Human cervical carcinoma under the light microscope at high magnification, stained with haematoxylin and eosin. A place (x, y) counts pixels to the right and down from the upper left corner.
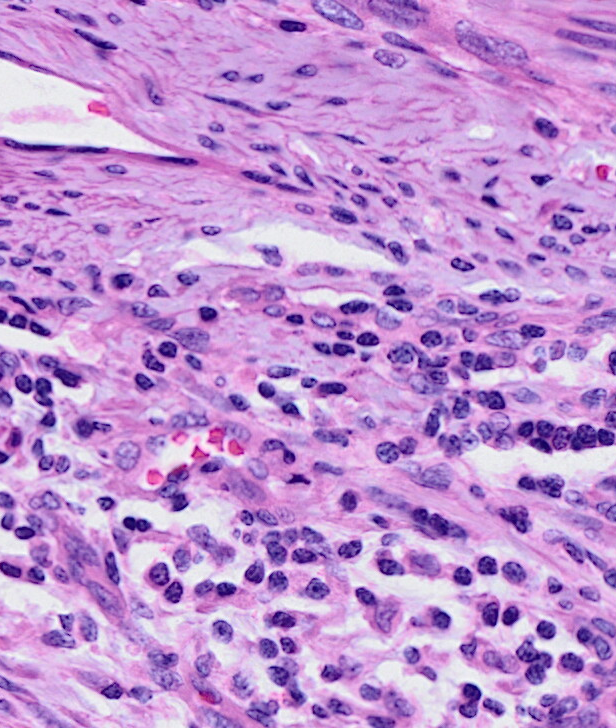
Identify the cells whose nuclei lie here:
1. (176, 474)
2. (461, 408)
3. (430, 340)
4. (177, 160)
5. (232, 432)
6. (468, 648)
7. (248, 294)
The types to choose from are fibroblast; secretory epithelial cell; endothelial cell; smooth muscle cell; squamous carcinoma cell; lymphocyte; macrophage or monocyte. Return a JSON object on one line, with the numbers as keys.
{"1": "endothelial cell", "2": "lymphocyte", "3": "lymphocyte", "4": "endothelial cell", "5": "endothelial cell", "6": "lymphocyte", "7": "endothelial cell"}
